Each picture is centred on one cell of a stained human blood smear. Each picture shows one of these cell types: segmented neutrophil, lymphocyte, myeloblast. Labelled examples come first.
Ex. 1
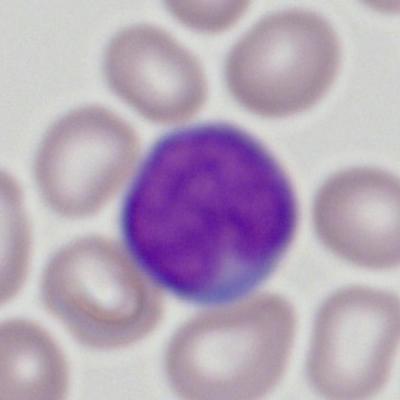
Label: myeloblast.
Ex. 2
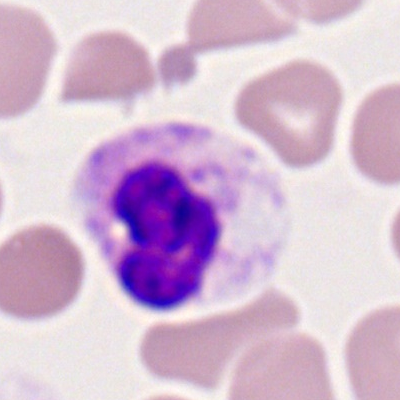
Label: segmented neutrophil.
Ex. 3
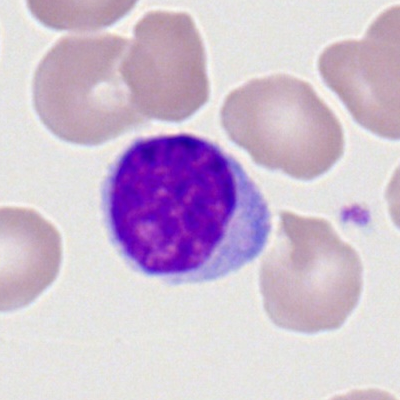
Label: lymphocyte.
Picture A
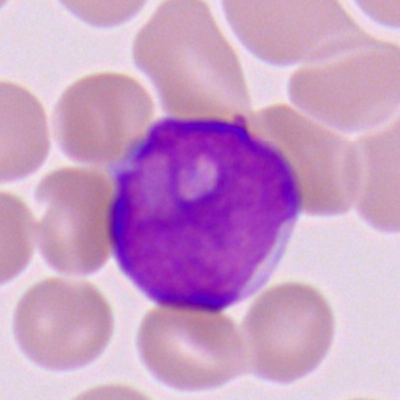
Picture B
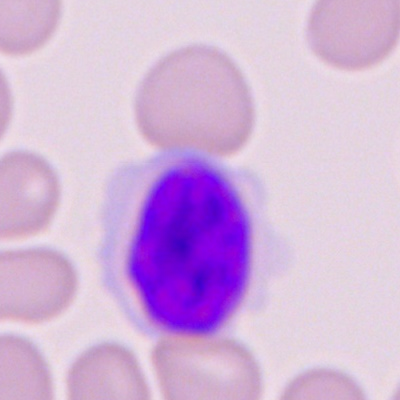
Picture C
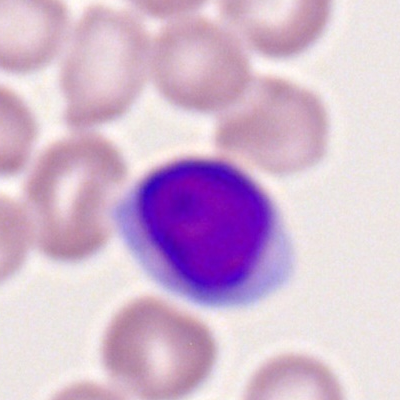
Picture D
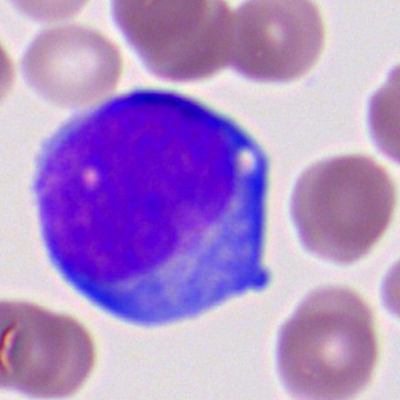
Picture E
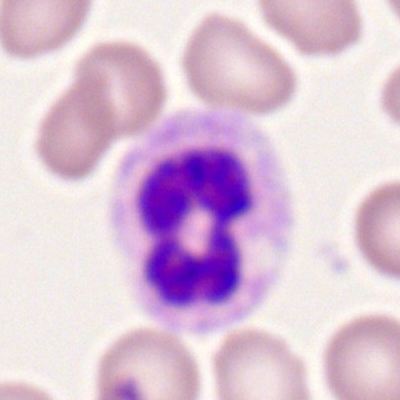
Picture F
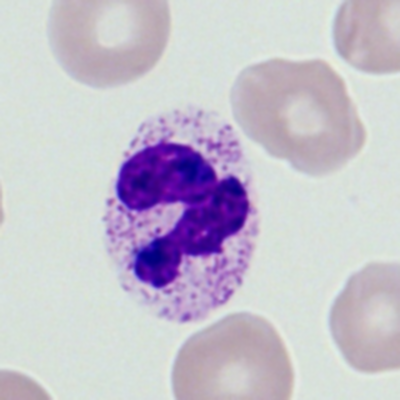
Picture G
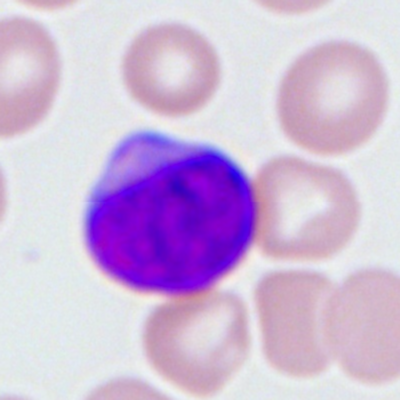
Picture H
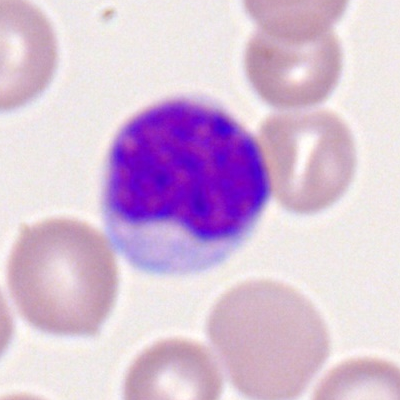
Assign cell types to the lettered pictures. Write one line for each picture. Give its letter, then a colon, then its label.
A: myeloblast.
B: lymphocyte.
C: lymphocyte.
D: myeloblast.
E: segmented neutrophil.
F: segmented neutrophil.
G: myeloblast.
H: lymphocyte.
